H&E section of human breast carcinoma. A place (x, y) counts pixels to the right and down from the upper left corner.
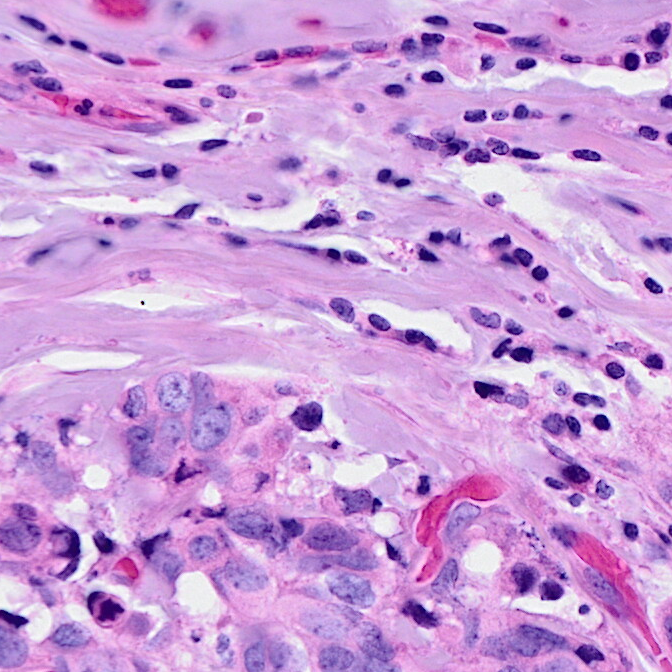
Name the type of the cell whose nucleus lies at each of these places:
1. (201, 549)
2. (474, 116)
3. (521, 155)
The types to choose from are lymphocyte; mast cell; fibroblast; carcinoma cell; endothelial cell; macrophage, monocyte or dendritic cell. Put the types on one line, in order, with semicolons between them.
carcinoma cell; lymphocyte; lymphocyte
